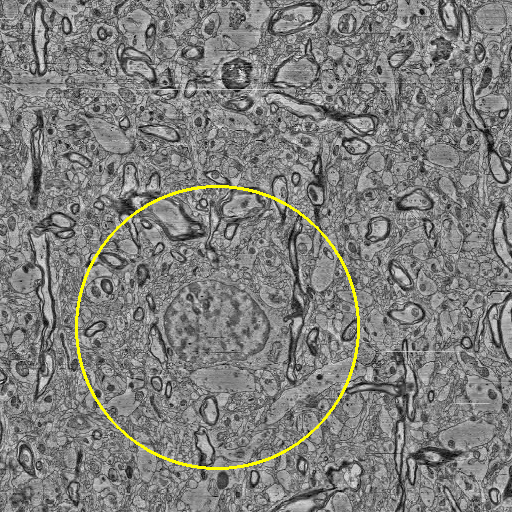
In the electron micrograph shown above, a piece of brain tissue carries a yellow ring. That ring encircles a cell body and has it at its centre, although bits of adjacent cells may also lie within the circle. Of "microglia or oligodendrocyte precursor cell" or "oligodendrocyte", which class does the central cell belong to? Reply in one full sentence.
The cell body at the centre of the yellow ring belongs to an oligodendrocyte.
